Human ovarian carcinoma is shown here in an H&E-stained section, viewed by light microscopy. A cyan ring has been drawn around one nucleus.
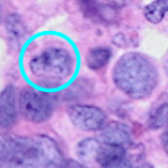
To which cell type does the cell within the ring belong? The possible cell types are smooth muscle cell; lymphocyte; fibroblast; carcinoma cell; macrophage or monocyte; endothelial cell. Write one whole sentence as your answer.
Labelled by cell type, the cell within the ring is a macrophage or monocyte.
